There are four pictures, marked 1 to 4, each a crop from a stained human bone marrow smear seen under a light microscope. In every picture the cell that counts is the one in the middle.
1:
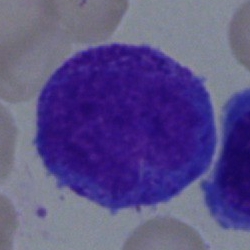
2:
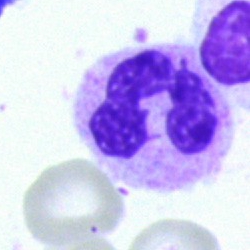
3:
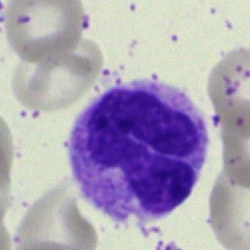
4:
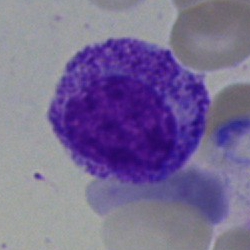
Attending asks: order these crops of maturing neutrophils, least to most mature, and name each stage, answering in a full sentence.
Along the maturation pathway, from earliest to latest, the order is crop 1 (a promyelocyte), crop 4 (a myelocyte), crop 3 (a metamyelocyte) and crop 2 (a segmented neutrophil).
